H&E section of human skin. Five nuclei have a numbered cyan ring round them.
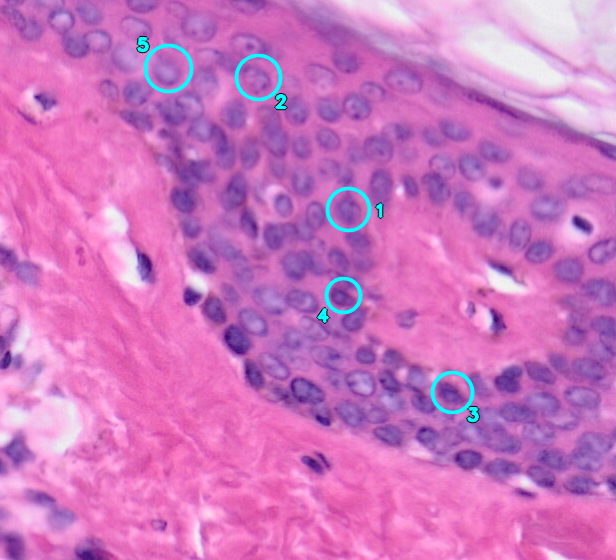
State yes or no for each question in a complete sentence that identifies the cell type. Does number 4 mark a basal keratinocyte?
Yes, exactly, the cell numbered 4 is a basal keratinocyte.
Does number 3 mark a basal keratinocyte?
Yes, the numbered nucleus 3 is that of a basal keratinocyte.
